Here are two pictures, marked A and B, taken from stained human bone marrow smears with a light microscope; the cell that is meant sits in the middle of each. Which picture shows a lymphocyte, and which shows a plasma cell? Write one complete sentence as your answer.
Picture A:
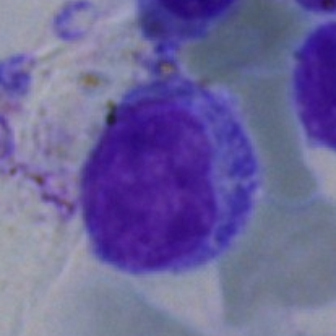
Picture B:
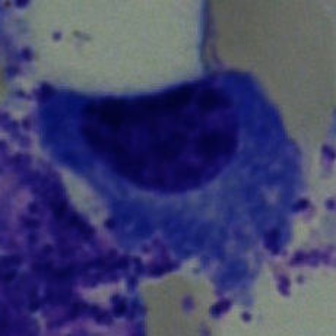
Picture B shows a plasma cell, while picture A shows a lymphocyte.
